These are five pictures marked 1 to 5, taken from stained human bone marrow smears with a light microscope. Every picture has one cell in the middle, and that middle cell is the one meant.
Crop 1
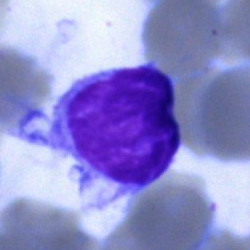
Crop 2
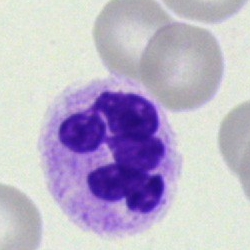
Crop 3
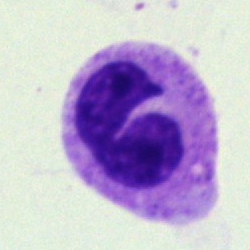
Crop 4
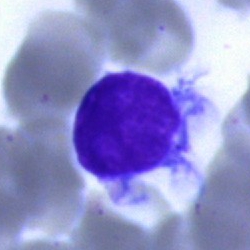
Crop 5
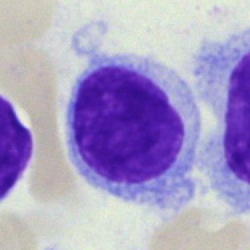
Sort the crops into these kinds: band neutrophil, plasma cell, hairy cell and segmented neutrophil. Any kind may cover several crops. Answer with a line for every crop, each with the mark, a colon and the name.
1: hairy cell
2: segmented neutrophil
3: segmented neutrophil
4: hairy cell
5: hairy cell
